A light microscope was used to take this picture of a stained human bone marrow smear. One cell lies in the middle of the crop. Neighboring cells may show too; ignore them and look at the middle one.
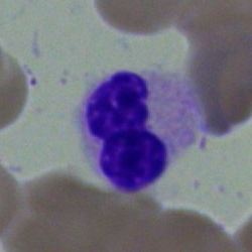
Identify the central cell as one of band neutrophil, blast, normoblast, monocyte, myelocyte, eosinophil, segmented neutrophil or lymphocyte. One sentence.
What the crop centres on is a segmented neutrophil.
